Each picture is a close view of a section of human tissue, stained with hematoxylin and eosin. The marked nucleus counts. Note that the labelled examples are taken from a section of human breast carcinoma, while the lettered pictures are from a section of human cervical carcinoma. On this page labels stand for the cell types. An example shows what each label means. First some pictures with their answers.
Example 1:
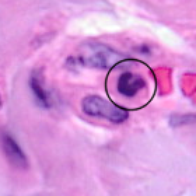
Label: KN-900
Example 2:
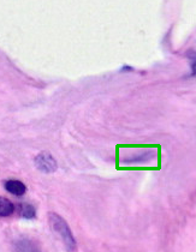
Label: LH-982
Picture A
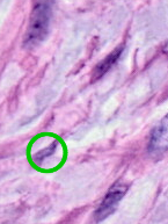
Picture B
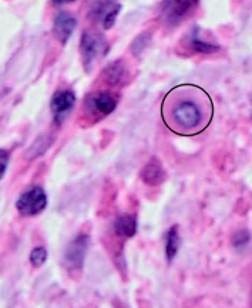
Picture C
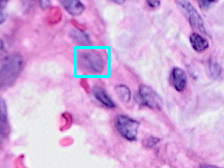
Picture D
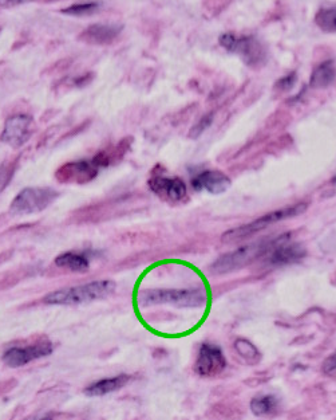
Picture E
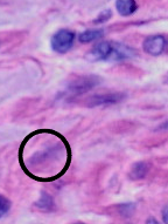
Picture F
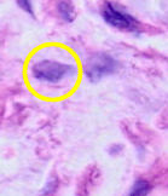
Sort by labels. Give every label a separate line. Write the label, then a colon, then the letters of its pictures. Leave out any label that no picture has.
KN-900: B, C
LH-982: A, D, E, F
